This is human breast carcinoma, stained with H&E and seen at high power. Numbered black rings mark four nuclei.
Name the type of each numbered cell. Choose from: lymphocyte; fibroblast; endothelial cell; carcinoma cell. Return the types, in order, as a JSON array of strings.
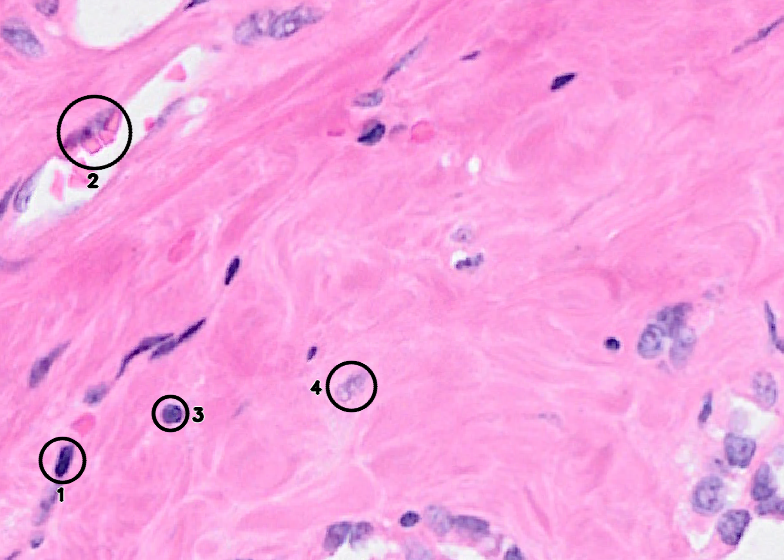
["lymphocyte", "endothelial cell", "lymphocyte", "fibroblast"]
